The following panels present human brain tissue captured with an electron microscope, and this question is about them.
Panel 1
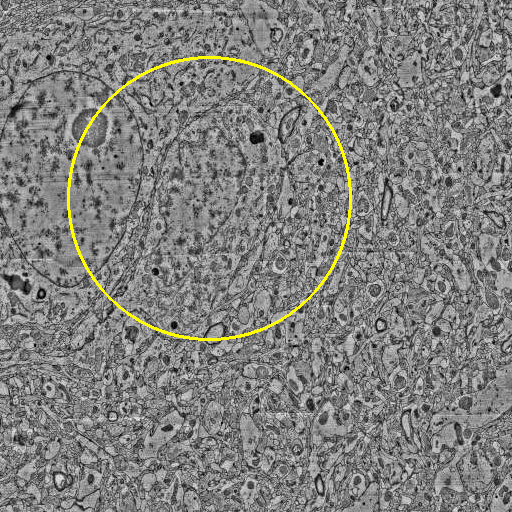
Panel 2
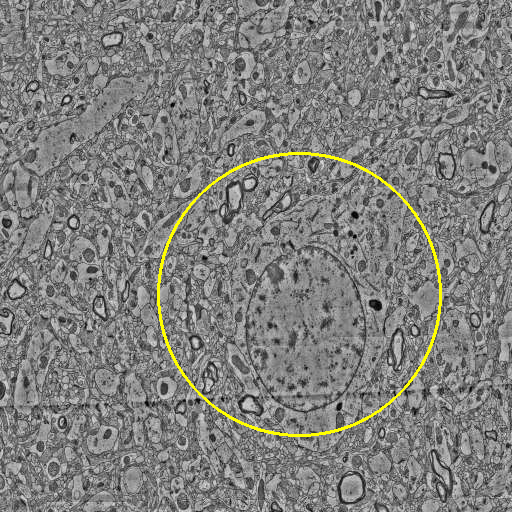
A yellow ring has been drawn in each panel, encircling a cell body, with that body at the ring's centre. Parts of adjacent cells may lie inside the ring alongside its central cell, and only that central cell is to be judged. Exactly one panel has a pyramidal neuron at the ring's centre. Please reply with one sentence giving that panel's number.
The ring whose central cell fits the description is the one in panel 2.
